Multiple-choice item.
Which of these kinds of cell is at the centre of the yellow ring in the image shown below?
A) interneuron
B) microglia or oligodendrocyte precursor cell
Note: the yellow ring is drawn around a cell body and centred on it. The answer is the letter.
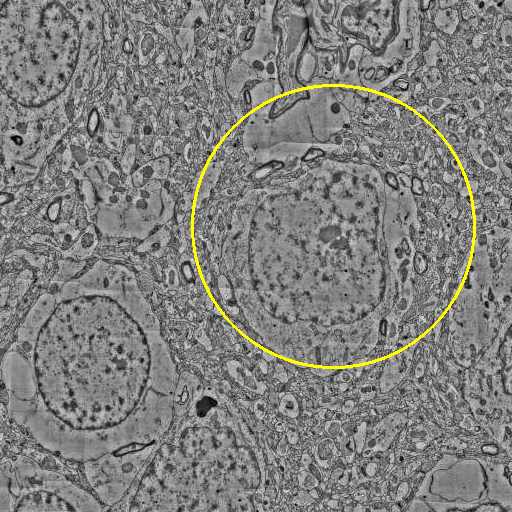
A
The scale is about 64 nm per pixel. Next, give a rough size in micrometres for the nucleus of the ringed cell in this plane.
Roughly 10 micrometres across, measured in this plane.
